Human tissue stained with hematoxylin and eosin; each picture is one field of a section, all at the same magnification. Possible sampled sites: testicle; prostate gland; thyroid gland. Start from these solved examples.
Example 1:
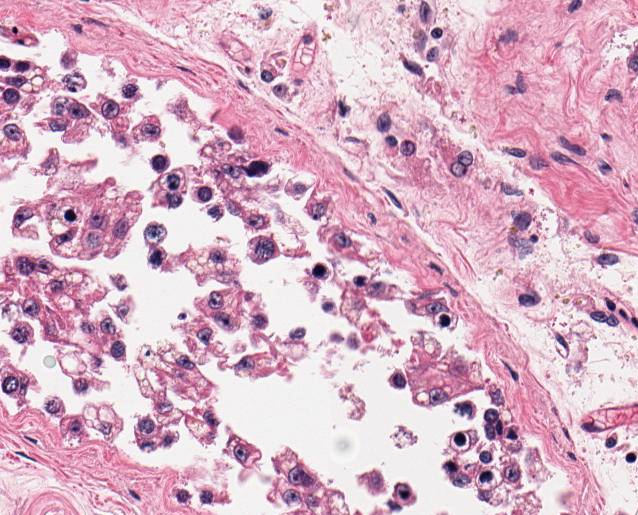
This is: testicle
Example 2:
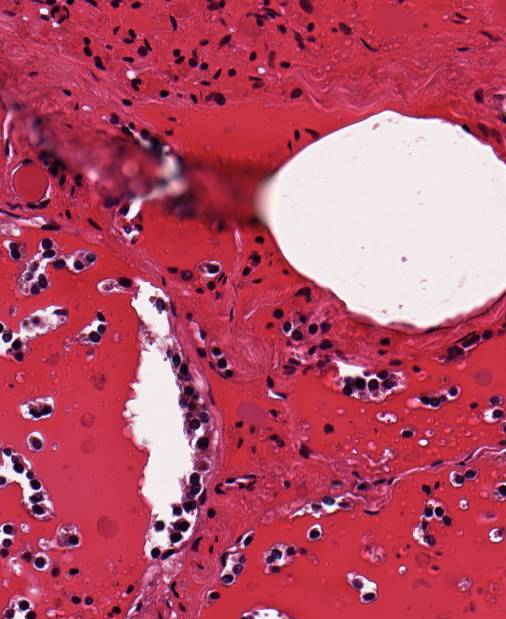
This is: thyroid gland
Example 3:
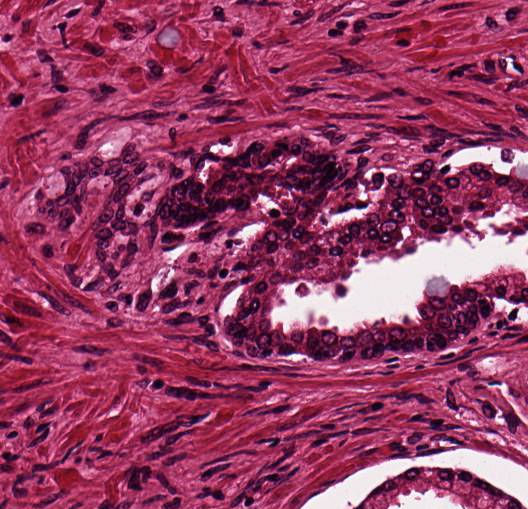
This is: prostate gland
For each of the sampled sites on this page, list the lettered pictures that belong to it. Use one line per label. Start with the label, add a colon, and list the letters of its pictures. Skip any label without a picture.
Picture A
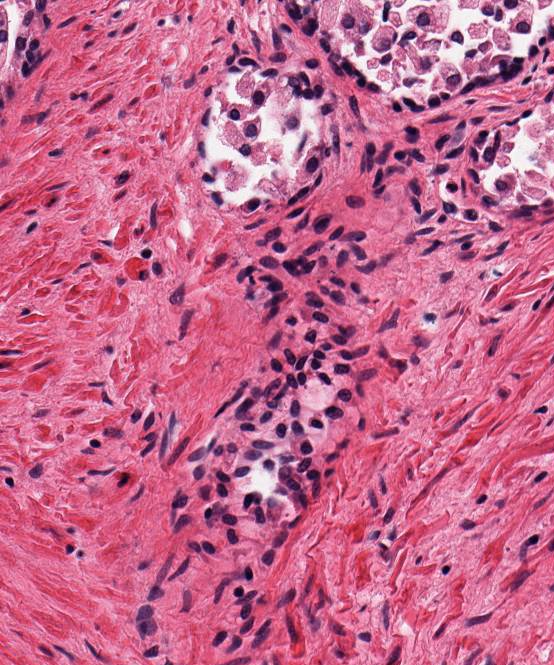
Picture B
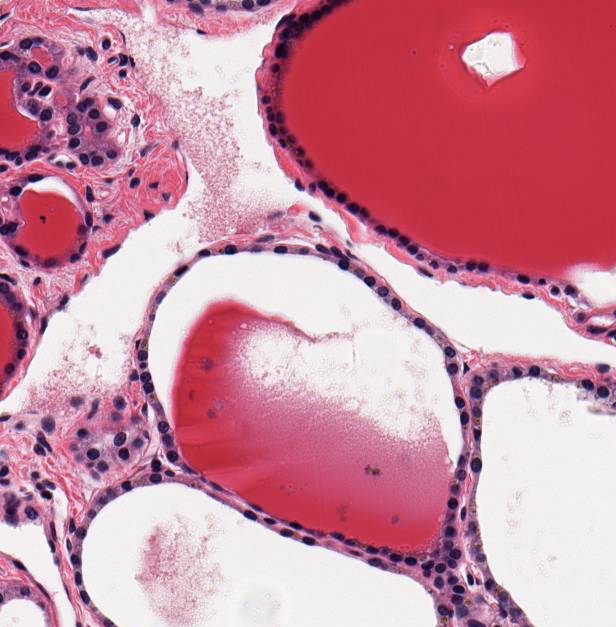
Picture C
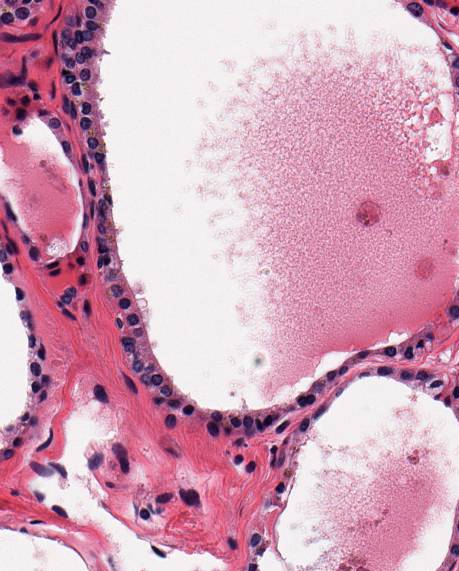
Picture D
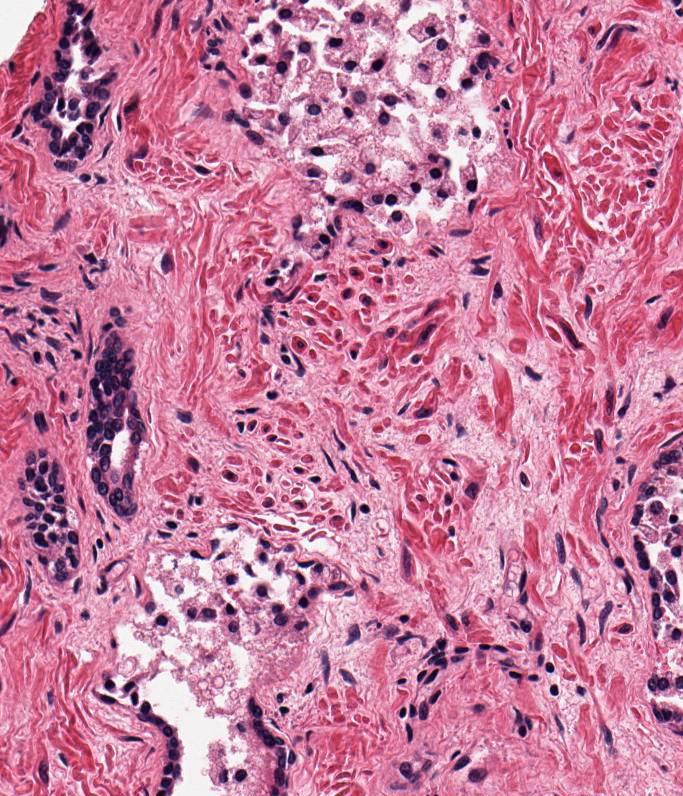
prostate gland: A, D
thyroid gland: B, C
